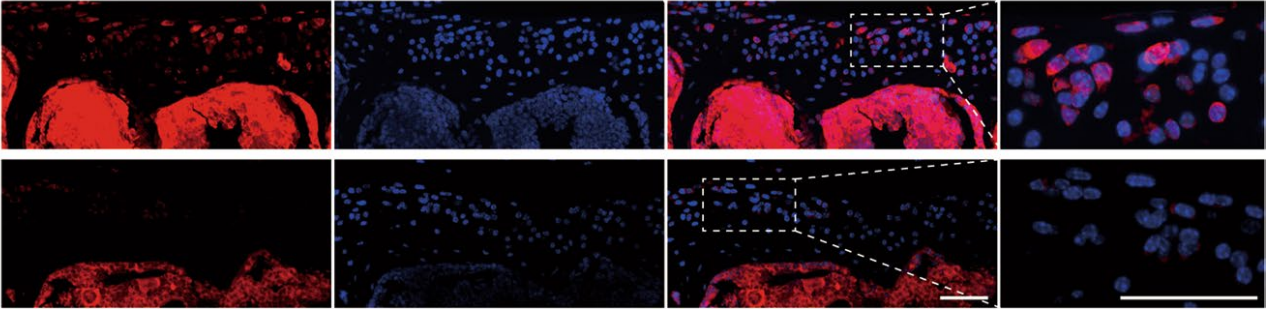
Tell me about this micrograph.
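Fluorescence views of cartilage, in which rounded cells with blue oval nuclei lie scattered, singly or in small clusters, in a matrix without nuclei, above large, densely cellular rounded regions. In the upper row a bright red signal surrounds many of the nuclei, as the enlarged view at the right shows. In the lower row the red signal around the nuclei is much fainter and sparser.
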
